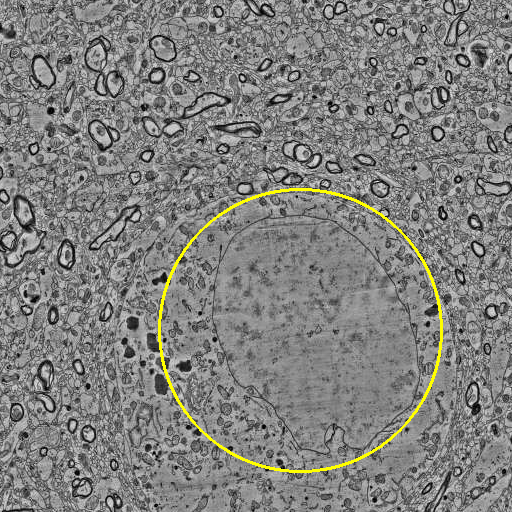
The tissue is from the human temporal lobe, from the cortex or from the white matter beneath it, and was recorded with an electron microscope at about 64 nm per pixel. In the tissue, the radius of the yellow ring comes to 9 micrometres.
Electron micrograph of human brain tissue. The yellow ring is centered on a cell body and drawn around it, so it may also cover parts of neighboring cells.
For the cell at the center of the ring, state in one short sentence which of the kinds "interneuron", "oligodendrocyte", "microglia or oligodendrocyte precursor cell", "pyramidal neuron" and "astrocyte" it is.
This ring is centered on a pyramidal neuron.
